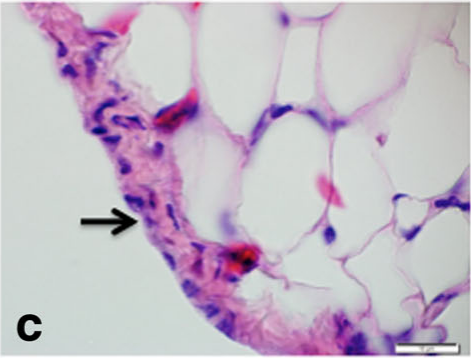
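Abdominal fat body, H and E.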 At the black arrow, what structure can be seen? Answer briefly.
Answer: Fibrous connective tissue capsule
